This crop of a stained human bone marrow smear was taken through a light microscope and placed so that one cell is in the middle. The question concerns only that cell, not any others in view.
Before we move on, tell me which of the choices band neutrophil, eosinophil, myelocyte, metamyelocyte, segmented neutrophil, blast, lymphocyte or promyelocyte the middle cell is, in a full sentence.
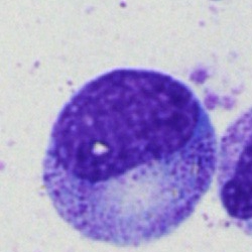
The cell sitting right in the middle is a metamyelocyte.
